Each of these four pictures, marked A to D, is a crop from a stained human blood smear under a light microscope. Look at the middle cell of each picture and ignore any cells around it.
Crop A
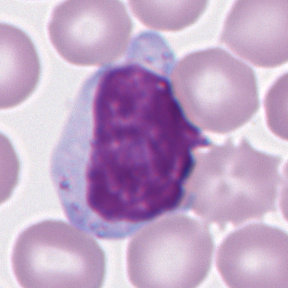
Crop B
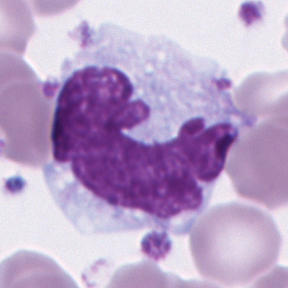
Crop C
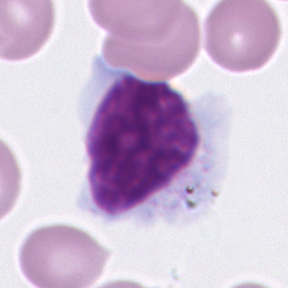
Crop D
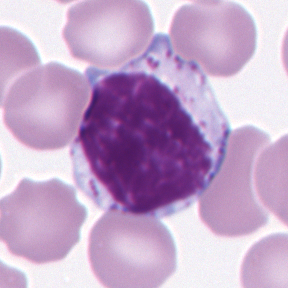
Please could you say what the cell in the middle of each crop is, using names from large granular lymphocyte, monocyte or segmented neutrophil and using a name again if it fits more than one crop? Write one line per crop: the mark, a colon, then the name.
A: large granular lymphocyte
B: monocyte
C: large granular lymphocyte
D: large granular lymphocyte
